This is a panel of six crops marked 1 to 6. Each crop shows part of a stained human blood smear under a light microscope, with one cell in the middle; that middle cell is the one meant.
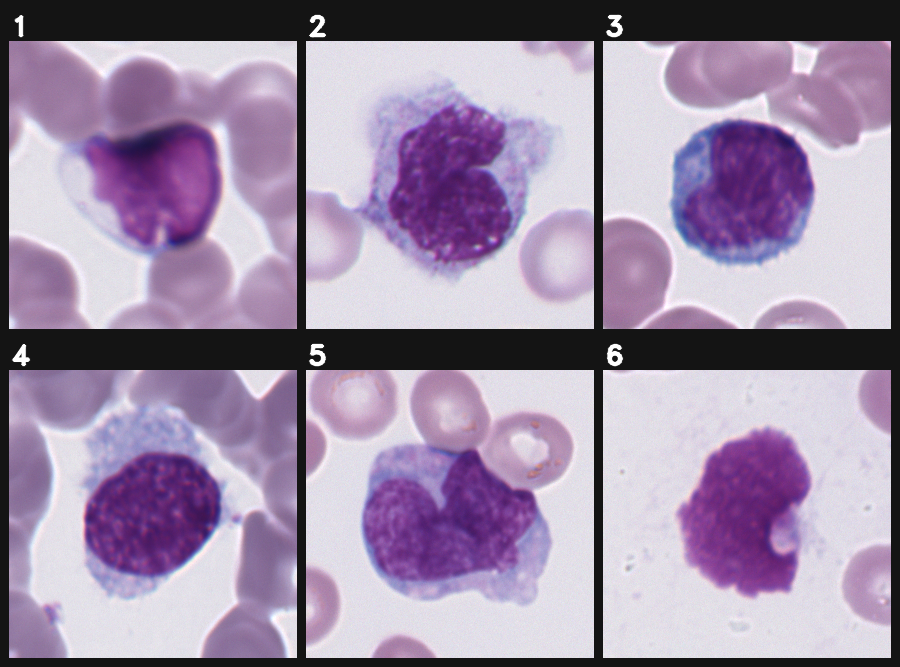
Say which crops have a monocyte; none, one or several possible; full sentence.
Classified as monocytes are the central cells of crops 2 and 3.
